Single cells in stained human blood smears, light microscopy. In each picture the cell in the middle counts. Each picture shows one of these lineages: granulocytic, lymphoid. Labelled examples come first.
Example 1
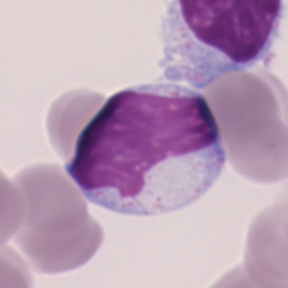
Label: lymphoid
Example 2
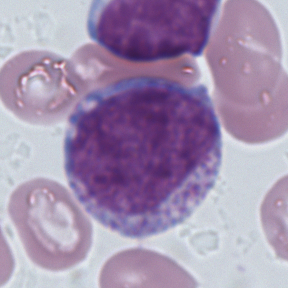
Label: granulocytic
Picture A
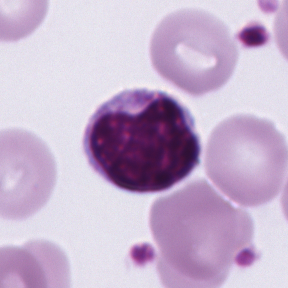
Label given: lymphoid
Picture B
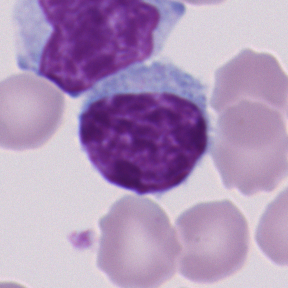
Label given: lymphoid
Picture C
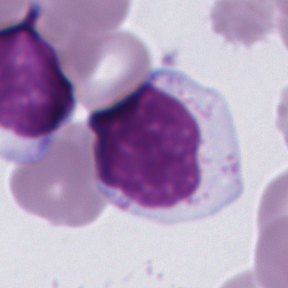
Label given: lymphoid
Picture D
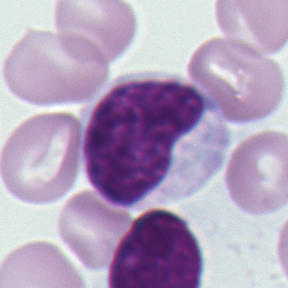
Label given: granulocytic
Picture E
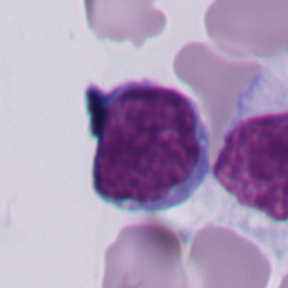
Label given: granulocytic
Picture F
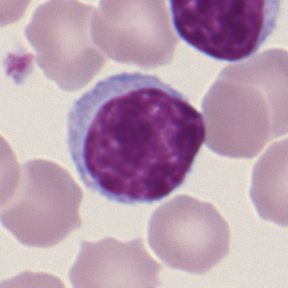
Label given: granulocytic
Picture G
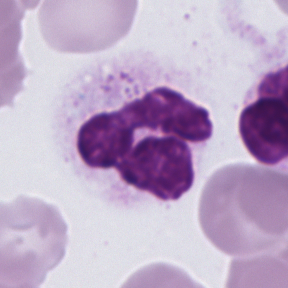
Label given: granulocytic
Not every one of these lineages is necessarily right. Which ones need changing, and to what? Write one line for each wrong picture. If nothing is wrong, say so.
E: lymphoid, not granulocytic
F: lymphoid, not granulocytic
